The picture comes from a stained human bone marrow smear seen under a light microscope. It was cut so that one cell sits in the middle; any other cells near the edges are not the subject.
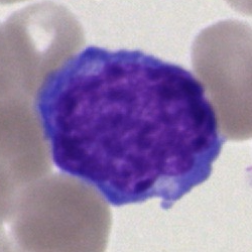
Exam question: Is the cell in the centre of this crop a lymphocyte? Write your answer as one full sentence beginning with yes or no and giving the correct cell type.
No, a blast rather than a lymphocyte is the cell at the centre of the crop.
